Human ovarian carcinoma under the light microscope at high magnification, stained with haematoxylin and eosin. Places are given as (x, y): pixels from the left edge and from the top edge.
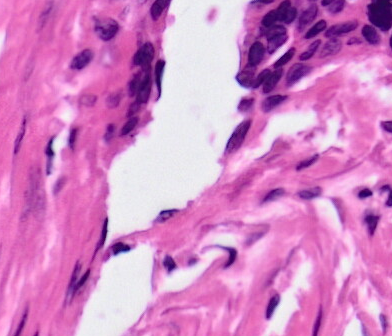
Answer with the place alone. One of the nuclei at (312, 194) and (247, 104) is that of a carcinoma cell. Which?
(247, 104)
